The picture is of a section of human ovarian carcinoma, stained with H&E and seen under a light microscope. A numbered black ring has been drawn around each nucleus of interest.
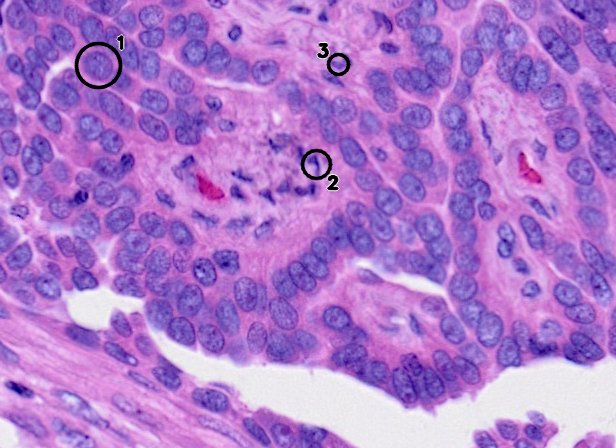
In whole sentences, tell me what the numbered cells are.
Cell 1 is a carcinoma cell, cell 2 is a fibroblast and cell 3 is a fibroblast.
